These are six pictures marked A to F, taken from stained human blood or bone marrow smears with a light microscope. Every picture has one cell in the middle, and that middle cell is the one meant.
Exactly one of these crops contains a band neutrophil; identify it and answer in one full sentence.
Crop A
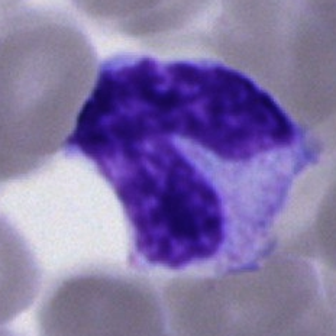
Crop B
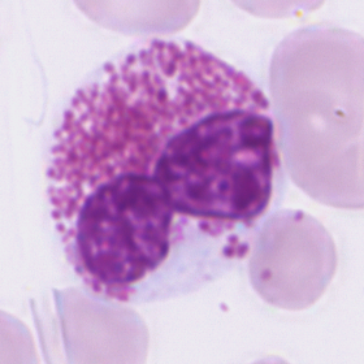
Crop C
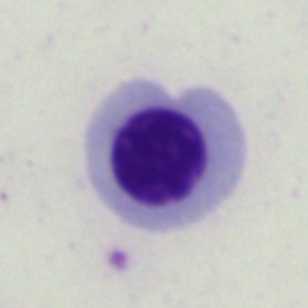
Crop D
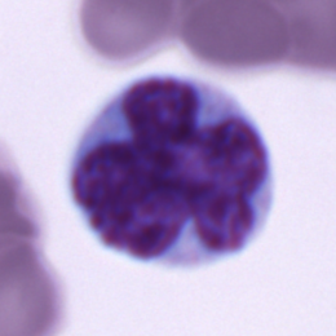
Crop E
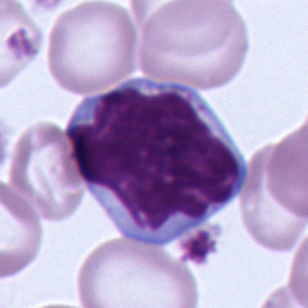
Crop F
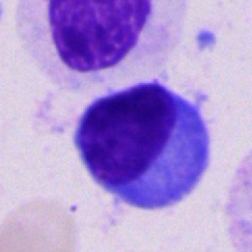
Crop A is the one that shows a band neutrophil.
